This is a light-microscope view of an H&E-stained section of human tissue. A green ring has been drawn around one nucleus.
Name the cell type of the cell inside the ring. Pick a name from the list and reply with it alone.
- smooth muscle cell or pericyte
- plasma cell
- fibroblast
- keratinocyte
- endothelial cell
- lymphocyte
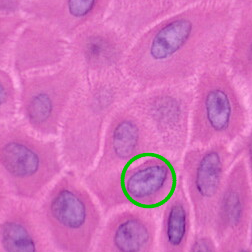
keratinocyte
